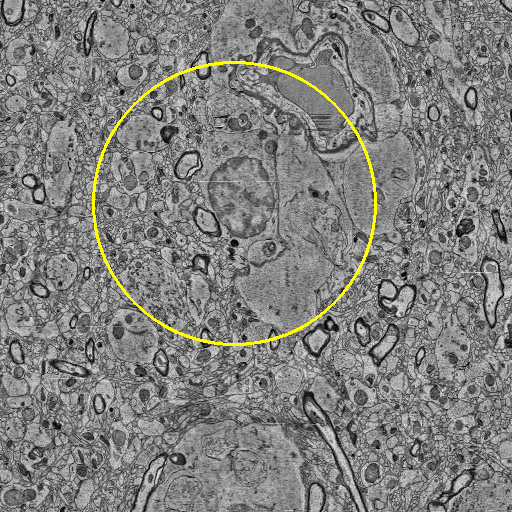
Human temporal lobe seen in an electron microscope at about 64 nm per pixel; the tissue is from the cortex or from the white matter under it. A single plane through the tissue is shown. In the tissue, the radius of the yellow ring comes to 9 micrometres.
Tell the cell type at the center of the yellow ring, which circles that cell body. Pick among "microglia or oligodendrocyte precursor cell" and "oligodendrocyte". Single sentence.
The ring is centered on the body of an oligodendrocyte.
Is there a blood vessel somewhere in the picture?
Yes, a blood vessel is present in this picture.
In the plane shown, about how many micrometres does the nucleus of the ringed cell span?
About 5 by 4 micrometers for the nucleus, in this plane.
